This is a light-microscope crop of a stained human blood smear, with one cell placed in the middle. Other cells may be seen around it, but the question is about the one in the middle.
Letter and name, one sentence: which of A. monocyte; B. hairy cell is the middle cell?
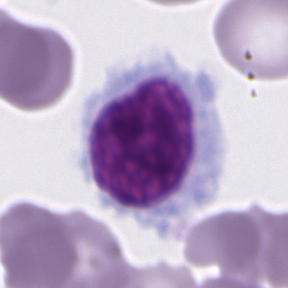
The middle of the crop contains a hairy cell, so option B is right.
